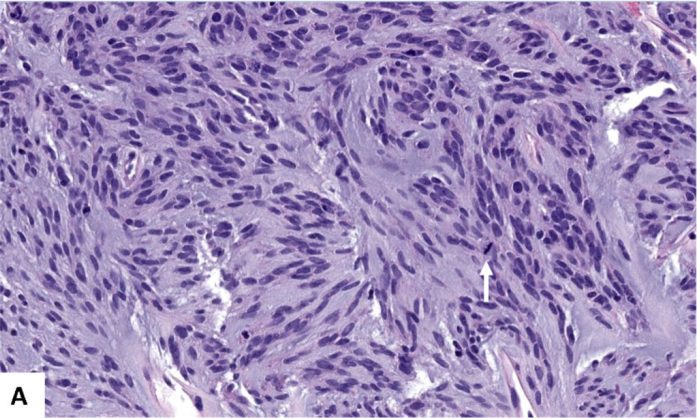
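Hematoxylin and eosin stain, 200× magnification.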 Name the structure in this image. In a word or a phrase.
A: Fascicles.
